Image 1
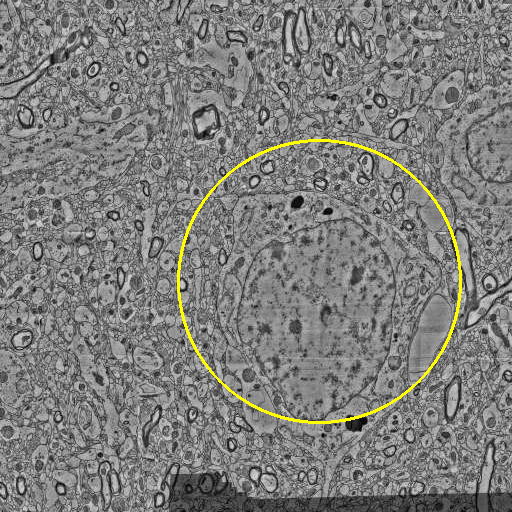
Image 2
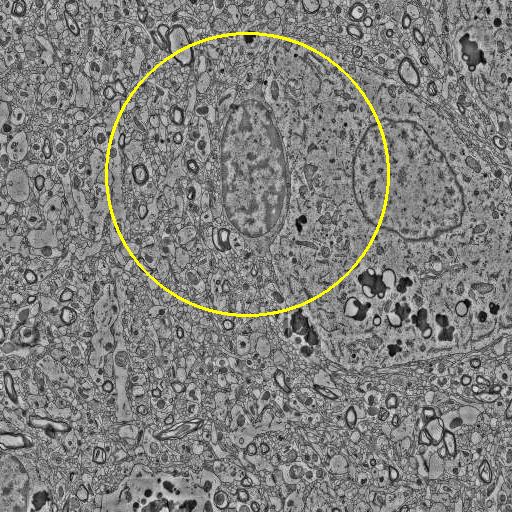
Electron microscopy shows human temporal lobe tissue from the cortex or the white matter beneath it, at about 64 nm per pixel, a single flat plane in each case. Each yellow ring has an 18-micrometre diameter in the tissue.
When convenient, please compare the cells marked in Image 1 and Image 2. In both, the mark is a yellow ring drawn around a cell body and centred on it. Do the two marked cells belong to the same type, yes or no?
no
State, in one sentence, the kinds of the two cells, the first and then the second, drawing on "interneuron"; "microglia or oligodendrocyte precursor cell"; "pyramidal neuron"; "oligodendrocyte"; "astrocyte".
The ring in the second picture is centred on an oligodendrocyte, the ring in the first on a pyramidal neuron.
